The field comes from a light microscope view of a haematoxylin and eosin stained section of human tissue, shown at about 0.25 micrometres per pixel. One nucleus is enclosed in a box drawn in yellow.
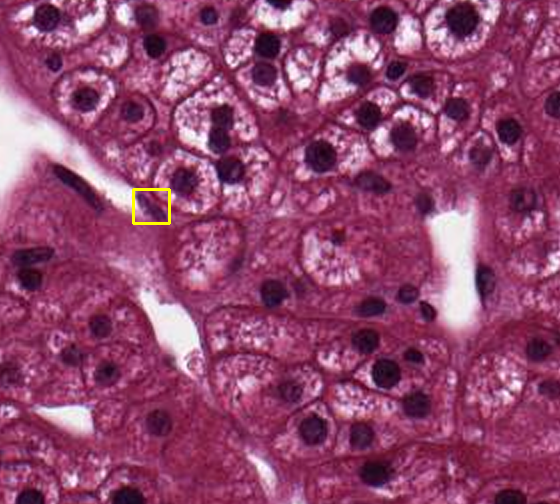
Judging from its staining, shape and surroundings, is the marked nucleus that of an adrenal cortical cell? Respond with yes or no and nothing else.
no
